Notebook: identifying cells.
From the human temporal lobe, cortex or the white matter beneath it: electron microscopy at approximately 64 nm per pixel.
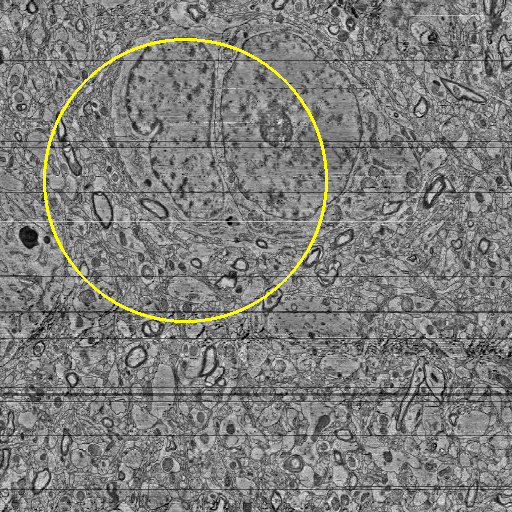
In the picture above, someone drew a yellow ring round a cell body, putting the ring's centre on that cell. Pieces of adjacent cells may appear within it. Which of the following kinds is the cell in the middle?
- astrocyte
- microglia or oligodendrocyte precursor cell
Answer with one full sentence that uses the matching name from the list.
In this picture, the yellow ring is centred on the body of a microglial cell or oligodendrocyte precursor cell.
